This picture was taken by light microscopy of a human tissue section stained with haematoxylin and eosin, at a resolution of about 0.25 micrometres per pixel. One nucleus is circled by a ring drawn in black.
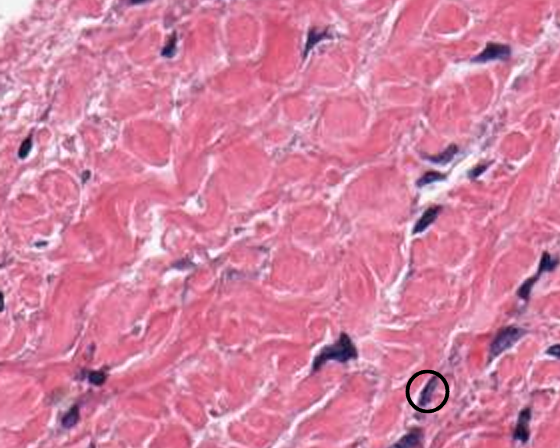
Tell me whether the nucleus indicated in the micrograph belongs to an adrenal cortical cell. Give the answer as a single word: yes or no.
no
